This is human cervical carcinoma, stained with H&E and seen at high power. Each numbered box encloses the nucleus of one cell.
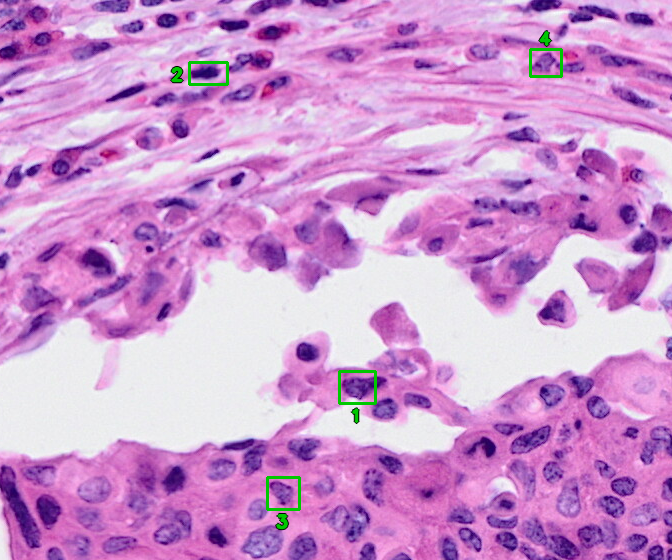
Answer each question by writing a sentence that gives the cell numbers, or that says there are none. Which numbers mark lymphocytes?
Nothing but cell 2 is a lymphocyte among the numbered ones.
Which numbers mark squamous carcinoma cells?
The cells given the numbers 1 and 3 are squamous carcinoma cells.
